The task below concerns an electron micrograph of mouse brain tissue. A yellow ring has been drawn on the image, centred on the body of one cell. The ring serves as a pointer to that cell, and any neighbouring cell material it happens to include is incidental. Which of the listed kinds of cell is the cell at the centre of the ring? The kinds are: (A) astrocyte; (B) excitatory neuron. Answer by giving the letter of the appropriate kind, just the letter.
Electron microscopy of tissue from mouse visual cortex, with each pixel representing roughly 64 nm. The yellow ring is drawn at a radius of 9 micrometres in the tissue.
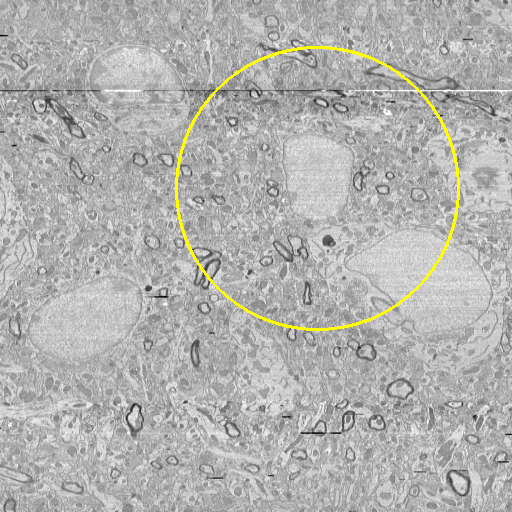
A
